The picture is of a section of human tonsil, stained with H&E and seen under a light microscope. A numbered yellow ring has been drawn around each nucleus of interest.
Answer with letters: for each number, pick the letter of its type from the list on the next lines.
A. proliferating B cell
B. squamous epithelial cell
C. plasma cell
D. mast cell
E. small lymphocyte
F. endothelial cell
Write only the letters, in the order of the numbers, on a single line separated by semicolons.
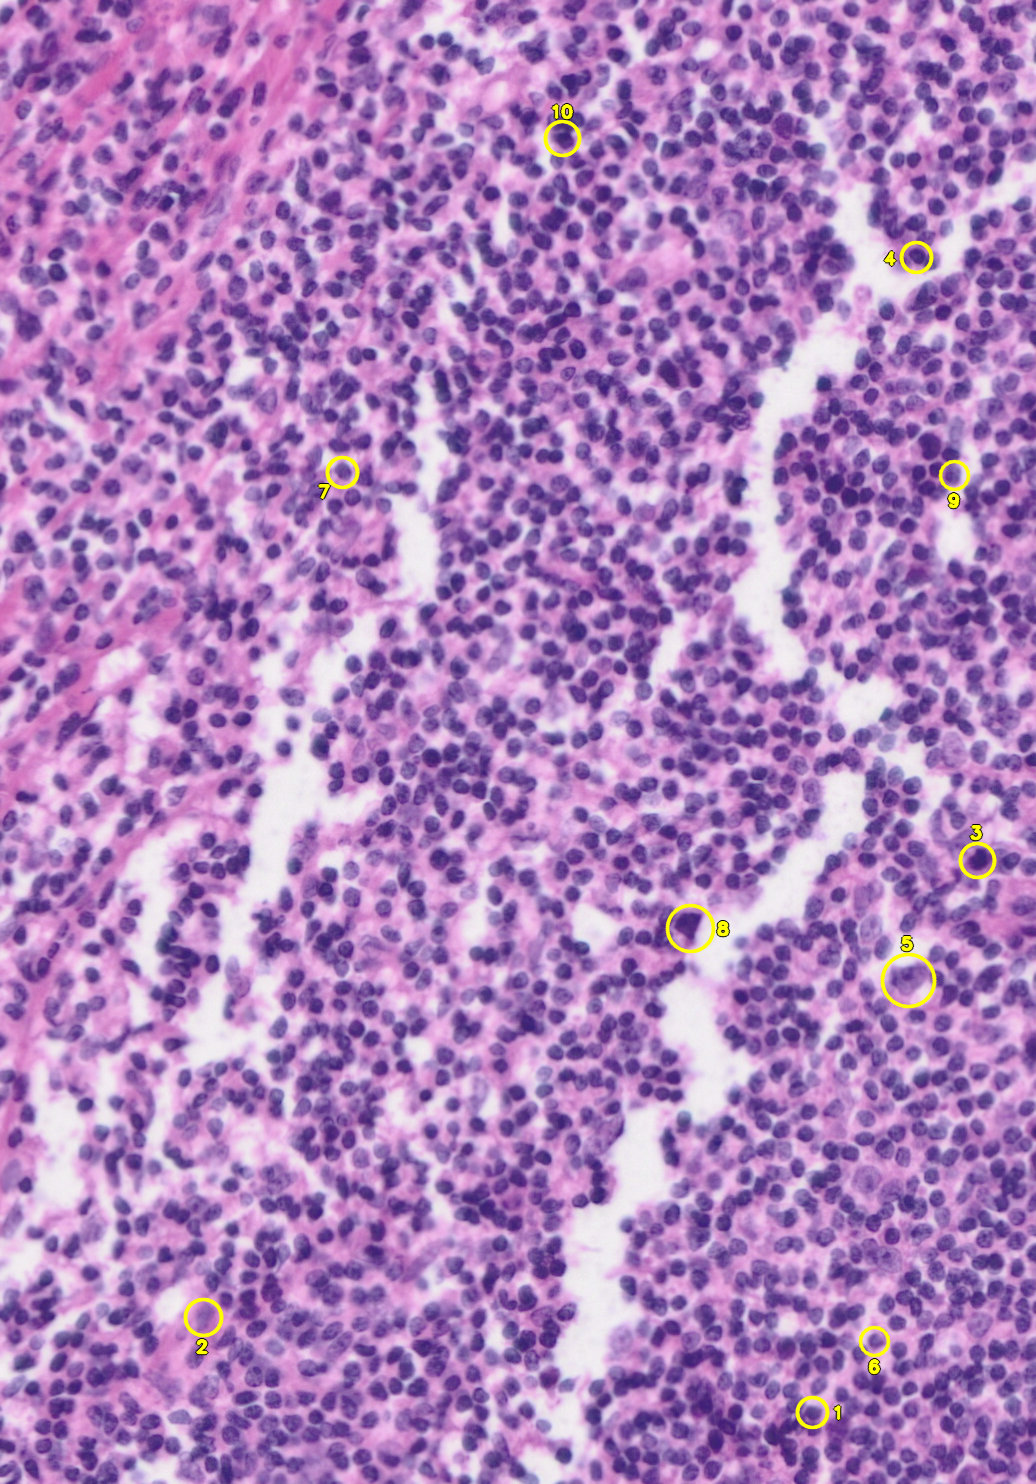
E; F; A; E; A; E; E; A; E; E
